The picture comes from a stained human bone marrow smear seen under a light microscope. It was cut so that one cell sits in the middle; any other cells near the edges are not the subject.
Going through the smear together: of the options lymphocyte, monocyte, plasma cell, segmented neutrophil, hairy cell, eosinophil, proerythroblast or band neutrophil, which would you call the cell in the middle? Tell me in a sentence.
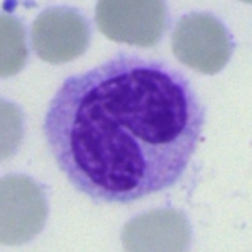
Centrally within this crop lies a band neutrophil.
